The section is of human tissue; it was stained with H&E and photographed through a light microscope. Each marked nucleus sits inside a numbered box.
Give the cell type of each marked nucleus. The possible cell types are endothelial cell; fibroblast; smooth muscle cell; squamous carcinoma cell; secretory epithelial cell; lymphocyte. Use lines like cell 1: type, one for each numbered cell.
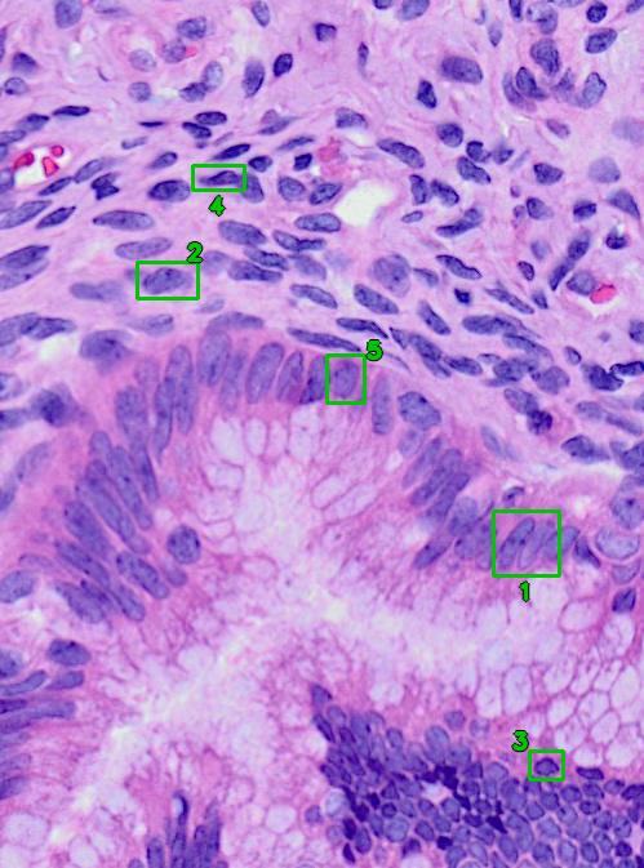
cell 1: secretory epithelial cell
cell 2: fibroblast
cell 3: secretory epithelial cell
cell 4: fibroblast
cell 5: secretory epithelial cell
